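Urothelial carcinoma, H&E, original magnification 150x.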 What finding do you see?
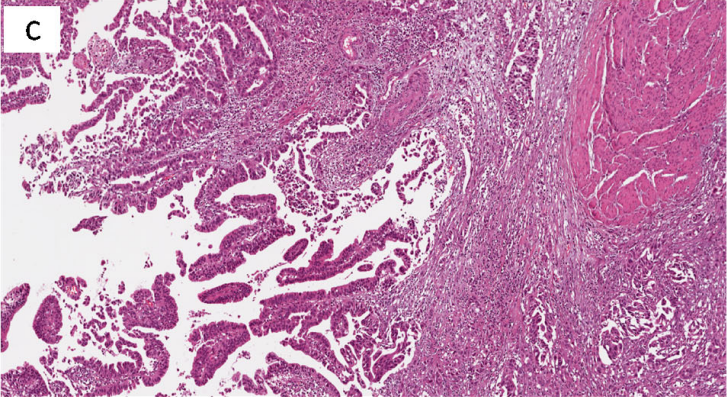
Glandular differentiation.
